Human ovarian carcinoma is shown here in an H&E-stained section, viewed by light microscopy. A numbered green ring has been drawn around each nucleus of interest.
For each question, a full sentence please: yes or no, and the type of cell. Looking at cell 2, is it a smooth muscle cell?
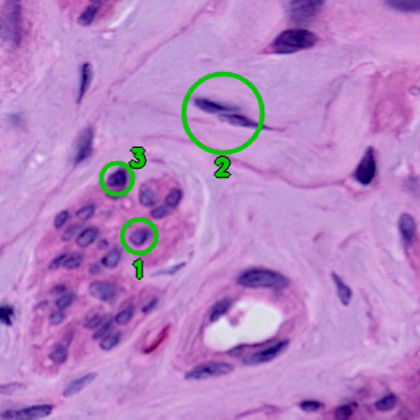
No, cell 2 is a fibroblast and should not be called a smooth muscle cell.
